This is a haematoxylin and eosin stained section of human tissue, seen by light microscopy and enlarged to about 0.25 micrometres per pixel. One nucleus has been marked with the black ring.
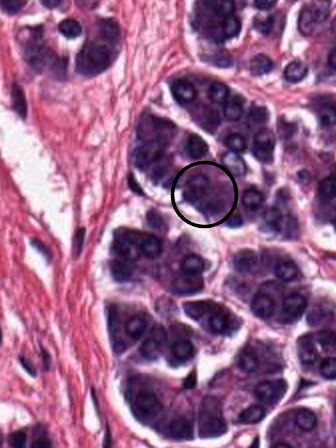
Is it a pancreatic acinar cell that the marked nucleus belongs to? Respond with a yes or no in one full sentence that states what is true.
Yes, the marked nucleus is one that belongs to a pancreatic acinar cell.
